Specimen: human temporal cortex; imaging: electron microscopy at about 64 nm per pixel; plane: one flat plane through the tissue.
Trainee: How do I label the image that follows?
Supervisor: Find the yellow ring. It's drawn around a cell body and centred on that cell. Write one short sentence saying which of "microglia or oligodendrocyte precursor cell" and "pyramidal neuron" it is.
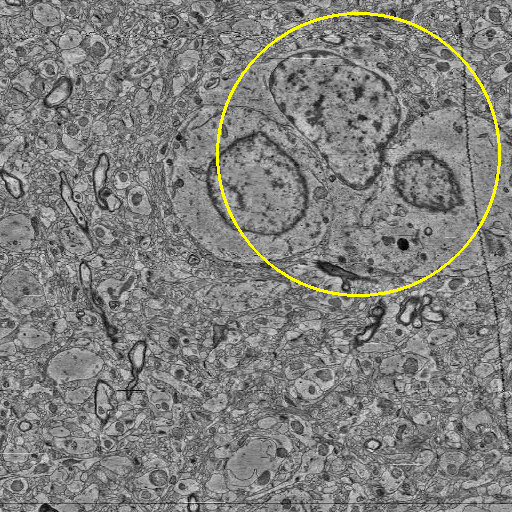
This is the cell body of a microglial cell or oligodendrocyte precursor cell.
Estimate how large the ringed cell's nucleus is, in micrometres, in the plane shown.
Approximately 10 by 7 micrometers in this plane.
